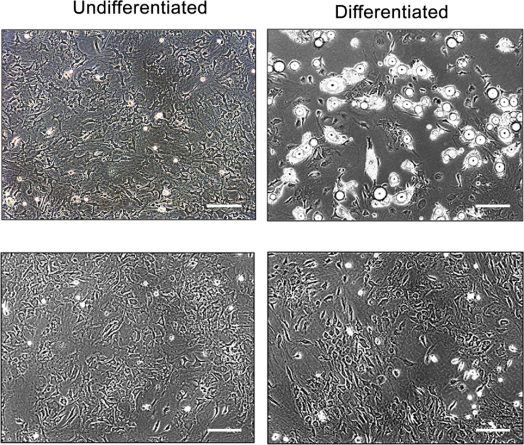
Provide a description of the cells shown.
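In the upper right image many cells have rounded up into adipocytes, each filled with bright, refractile round lipid droplets that sit among the remaining spindle cells. The other three images show only the flat spindle-shaped cells, with few or no lipid-filled rounded cells.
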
